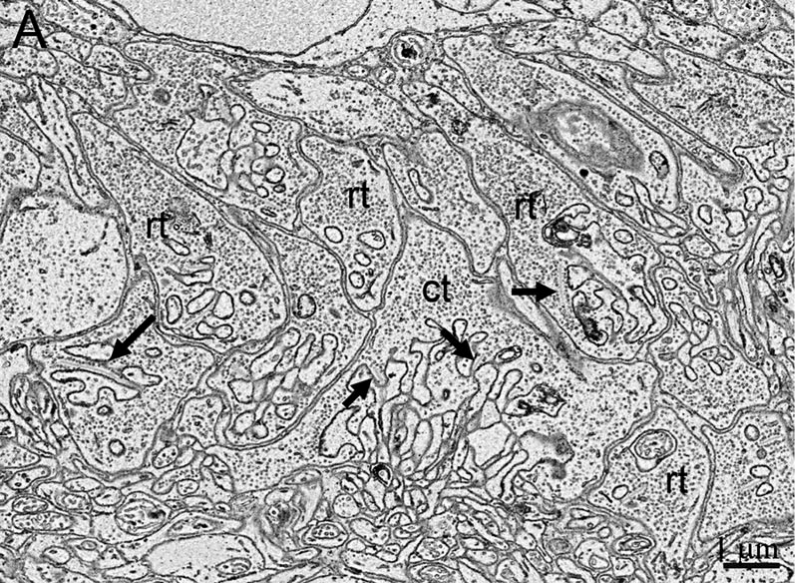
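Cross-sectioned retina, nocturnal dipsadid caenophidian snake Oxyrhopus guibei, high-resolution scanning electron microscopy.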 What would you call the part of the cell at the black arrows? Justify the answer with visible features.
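Synaptic ribbons. The arrows point to thin elongated bar-like densities inside the large terminals. The bars lie close to the membrane where small profiles invaginate into the terminal. The terminals around them are packed with small round vesicles.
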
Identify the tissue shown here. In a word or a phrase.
Outer plexiform layer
